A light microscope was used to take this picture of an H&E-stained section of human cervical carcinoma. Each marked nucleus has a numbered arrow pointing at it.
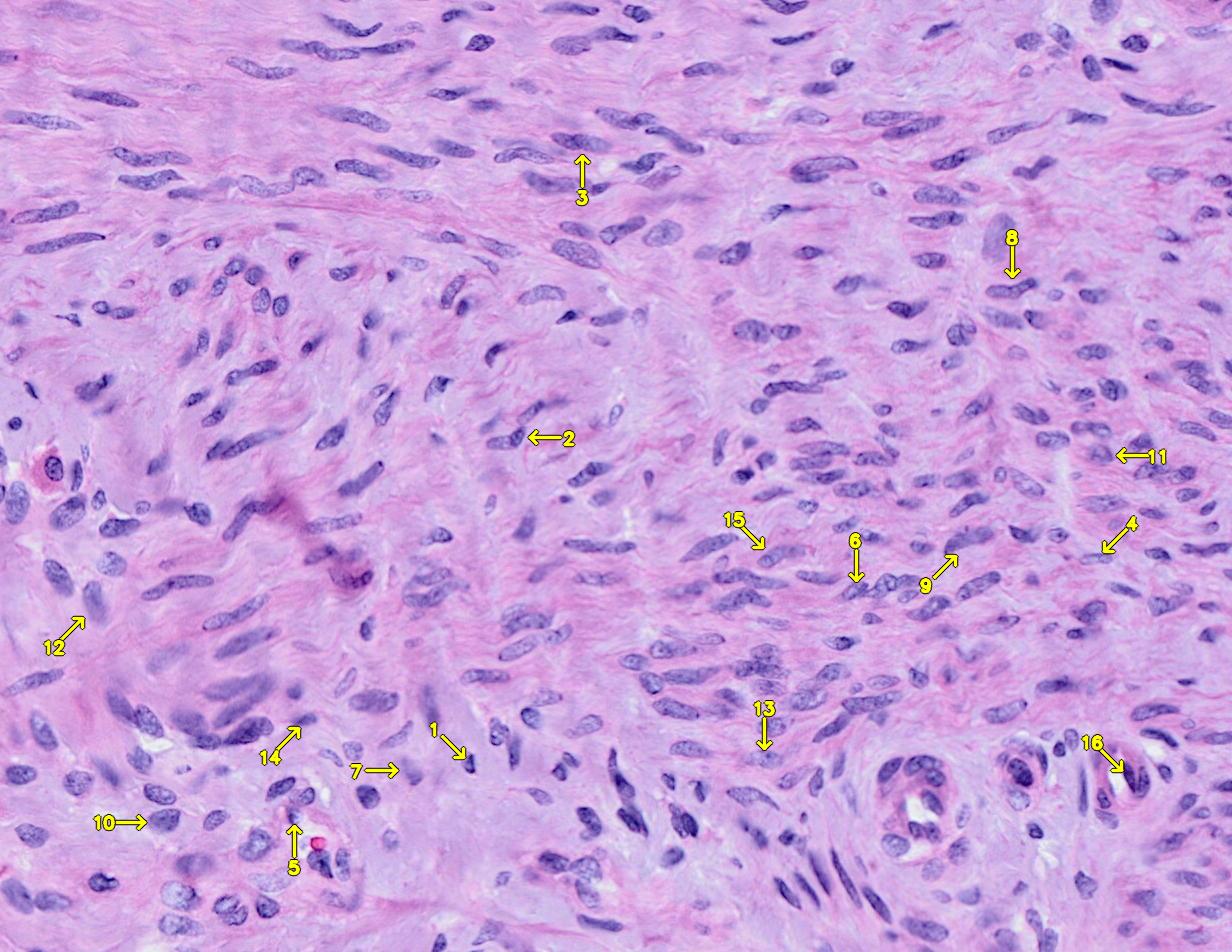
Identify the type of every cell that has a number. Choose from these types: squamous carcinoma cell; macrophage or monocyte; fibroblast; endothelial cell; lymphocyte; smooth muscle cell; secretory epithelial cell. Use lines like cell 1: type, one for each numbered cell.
cell 1: fibroblast
cell 2: smooth muscle cell
cell 3: smooth muscle cell
cell 4: smooth muscle cell
cell 5: endothelial cell
cell 6: smooth muscle cell
cell 7: fibroblast
cell 8: smooth muscle cell
cell 9: smooth muscle cell
cell 10: fibroblast
cell 11: smooth muscle cell
cell 12: fibroblast
cell 13: smooth muscle cell
cell 14: fibroblast
cell 15: smooth muscle cell
cell 16: endothelial cell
